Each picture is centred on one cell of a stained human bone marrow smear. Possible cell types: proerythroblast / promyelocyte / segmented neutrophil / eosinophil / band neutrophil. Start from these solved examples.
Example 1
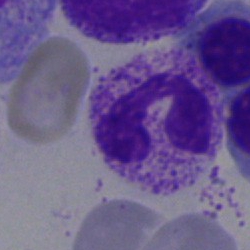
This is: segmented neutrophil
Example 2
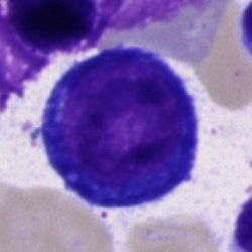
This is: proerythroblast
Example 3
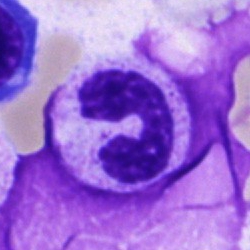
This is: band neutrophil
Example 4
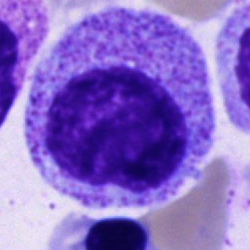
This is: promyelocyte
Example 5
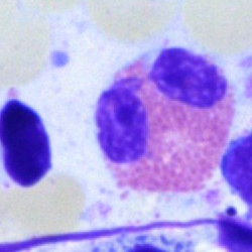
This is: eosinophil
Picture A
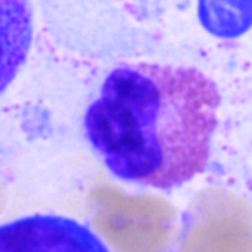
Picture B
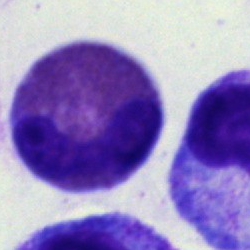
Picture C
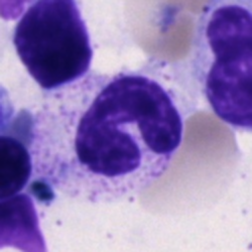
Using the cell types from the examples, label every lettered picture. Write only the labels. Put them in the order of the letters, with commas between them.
eosinophil, eosinophil, band neutrophil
